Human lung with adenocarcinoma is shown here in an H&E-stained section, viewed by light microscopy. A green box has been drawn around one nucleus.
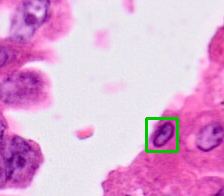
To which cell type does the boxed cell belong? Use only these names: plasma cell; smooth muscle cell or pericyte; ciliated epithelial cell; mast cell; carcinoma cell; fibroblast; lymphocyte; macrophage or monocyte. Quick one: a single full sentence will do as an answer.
With respect to cell type, the boxed cell is a macrophage or monocyte.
